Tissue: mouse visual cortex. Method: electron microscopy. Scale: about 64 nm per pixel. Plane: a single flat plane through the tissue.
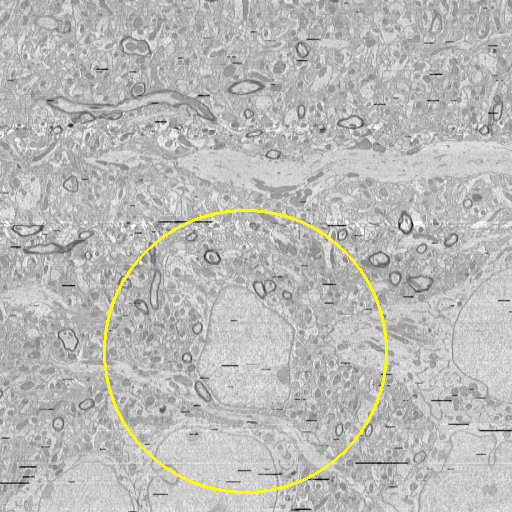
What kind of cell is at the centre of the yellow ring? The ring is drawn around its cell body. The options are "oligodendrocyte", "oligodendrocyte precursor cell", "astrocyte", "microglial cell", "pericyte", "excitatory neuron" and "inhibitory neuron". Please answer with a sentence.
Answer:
The yellow ring marks the cell body of an astrocyte.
